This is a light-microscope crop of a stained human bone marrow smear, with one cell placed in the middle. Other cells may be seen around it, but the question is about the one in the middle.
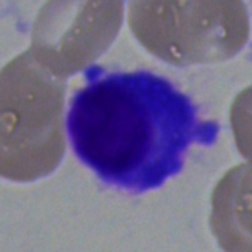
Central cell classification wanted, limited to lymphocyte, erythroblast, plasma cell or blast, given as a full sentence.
The centrally positioned cell in the crop represents a plasma cell.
